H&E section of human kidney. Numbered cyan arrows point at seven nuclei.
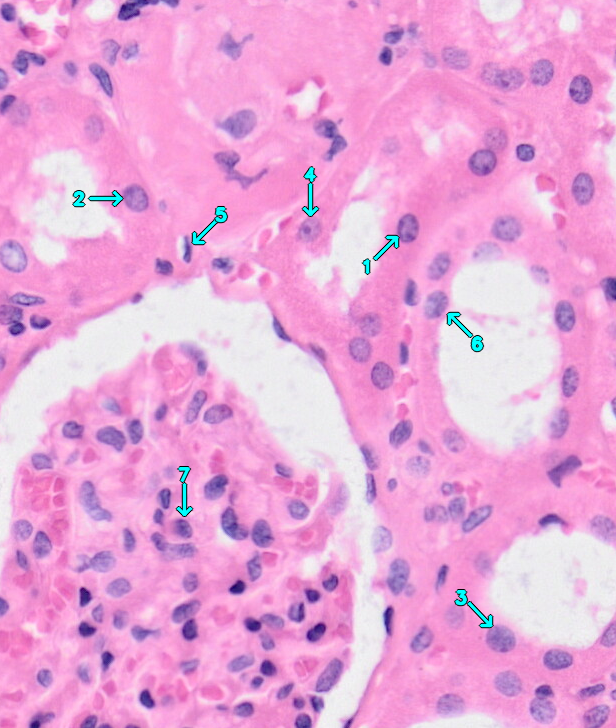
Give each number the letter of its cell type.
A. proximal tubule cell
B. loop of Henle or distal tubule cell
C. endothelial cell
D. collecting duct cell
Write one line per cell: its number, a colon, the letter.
1: A
2: A
3: B
4: A
5: C
6: B
7: C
